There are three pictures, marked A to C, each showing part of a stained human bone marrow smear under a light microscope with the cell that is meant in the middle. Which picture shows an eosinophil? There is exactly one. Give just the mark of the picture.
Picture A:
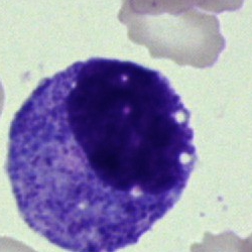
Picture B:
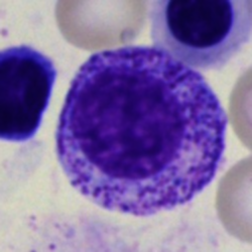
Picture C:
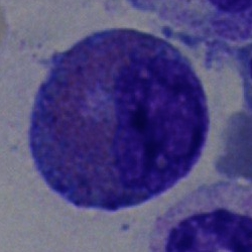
C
